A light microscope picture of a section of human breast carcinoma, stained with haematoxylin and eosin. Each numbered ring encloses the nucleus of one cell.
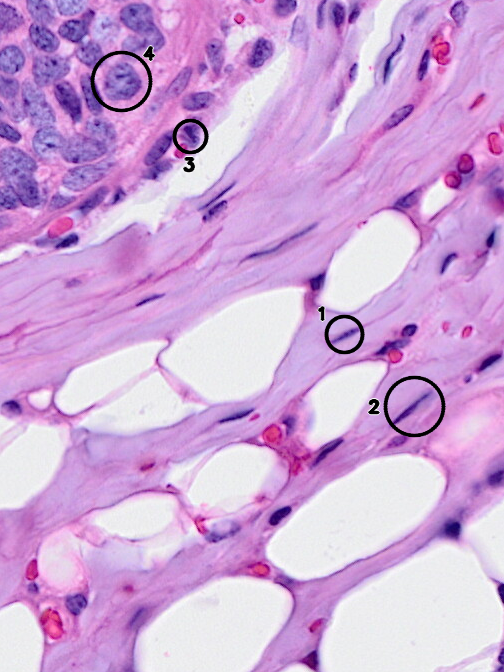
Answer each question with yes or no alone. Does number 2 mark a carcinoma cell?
no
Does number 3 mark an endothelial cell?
yes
